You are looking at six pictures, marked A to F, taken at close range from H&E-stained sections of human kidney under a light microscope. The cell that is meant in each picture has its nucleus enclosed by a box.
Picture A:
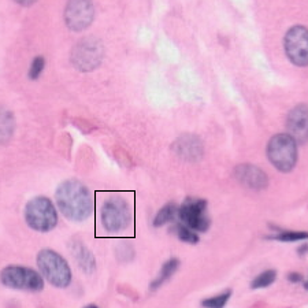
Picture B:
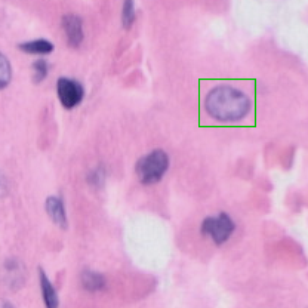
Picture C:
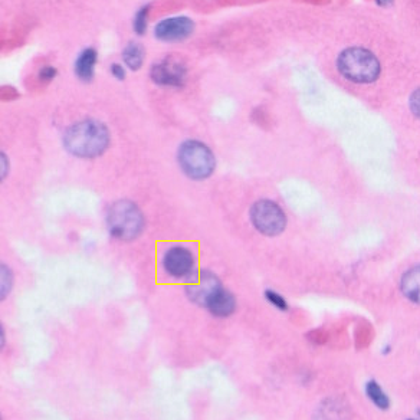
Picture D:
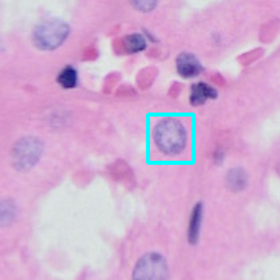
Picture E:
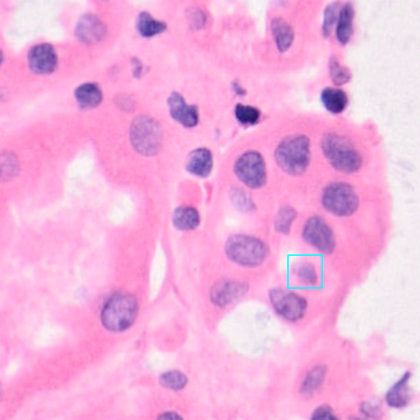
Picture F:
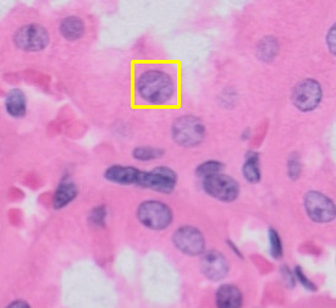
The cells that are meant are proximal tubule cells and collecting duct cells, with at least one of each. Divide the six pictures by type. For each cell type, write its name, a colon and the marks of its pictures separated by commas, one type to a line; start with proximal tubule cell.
proximal tubule cell: B, C, D, F
collecting duct cell: A, E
